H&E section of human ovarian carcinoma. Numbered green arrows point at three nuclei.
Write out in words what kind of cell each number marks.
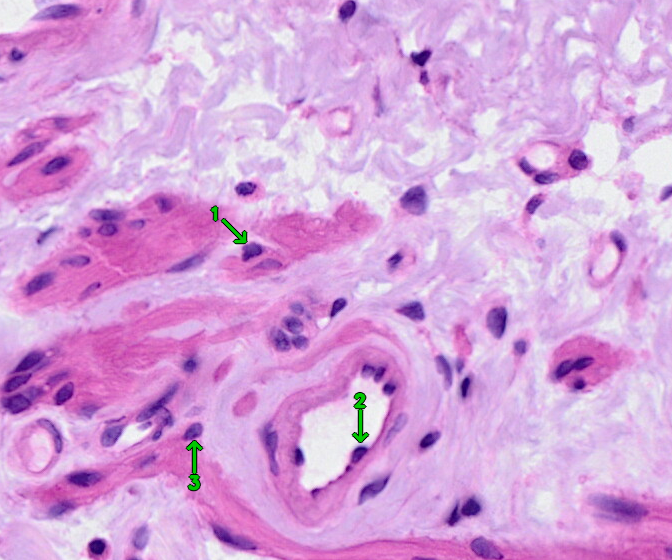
Cells 1 and 3 are smooth muscle cells. Cell 2 is an endothelial cell.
